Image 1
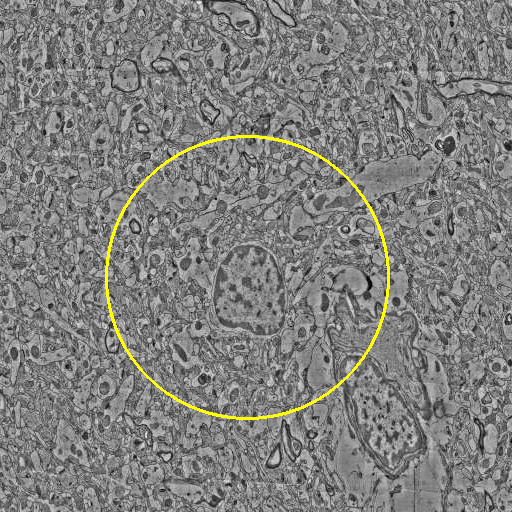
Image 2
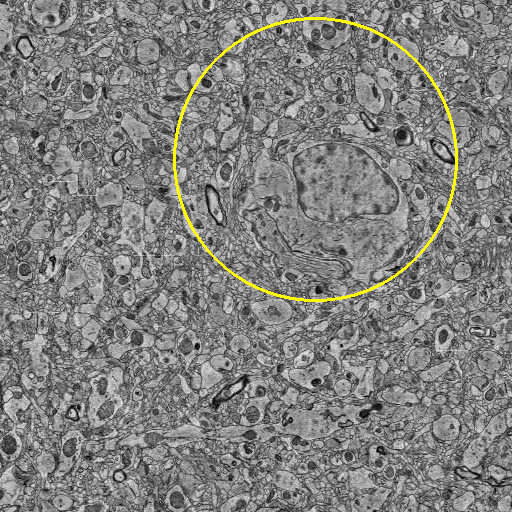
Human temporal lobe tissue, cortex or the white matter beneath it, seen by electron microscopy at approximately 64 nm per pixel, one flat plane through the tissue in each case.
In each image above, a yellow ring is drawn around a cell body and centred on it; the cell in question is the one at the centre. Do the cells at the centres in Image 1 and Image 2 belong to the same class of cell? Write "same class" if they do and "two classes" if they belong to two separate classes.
same class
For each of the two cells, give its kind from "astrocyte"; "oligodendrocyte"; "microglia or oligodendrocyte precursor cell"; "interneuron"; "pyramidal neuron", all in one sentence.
Both pictures show a microglial cell or oligodendrocyte precursor cell at the centre of the ring.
